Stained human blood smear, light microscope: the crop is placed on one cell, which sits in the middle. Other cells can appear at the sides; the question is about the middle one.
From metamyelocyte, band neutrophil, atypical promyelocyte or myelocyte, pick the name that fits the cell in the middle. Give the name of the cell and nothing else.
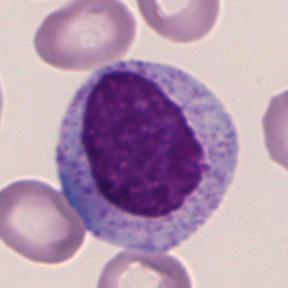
myelocyte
